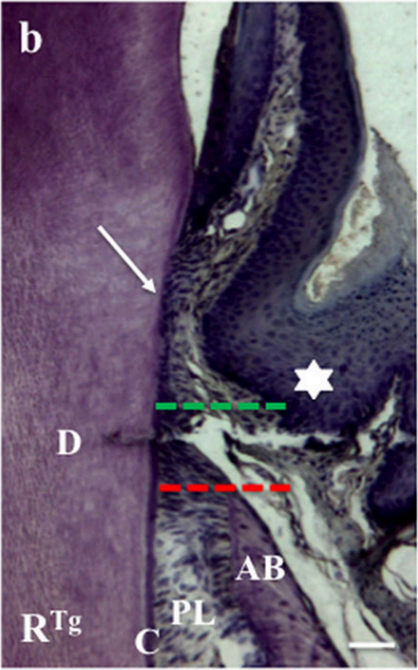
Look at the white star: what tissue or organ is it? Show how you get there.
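Gingival epithelium. The star lies on a thick, densely cellular, dark purple stratified layer. The layer covers the soft tissue beside the tooth and faces the oral surface.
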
